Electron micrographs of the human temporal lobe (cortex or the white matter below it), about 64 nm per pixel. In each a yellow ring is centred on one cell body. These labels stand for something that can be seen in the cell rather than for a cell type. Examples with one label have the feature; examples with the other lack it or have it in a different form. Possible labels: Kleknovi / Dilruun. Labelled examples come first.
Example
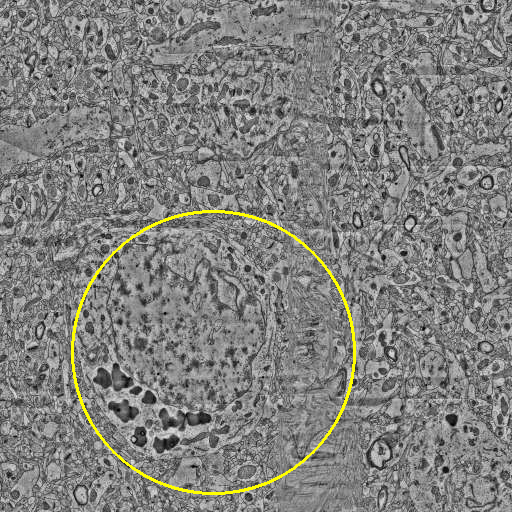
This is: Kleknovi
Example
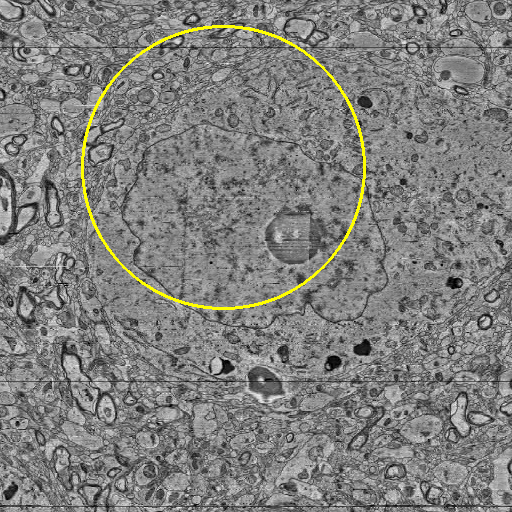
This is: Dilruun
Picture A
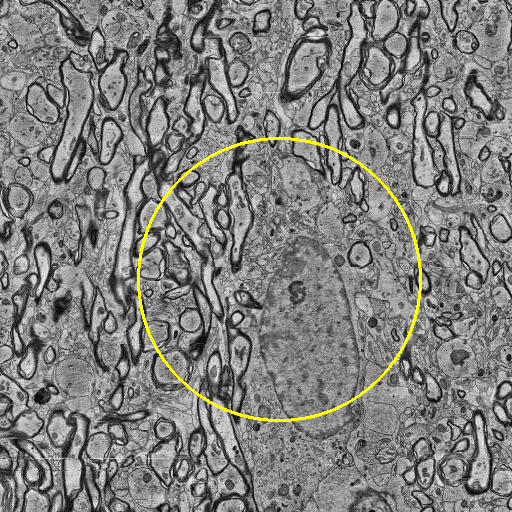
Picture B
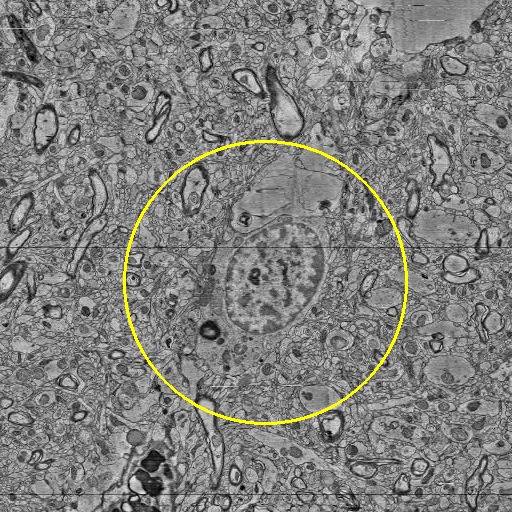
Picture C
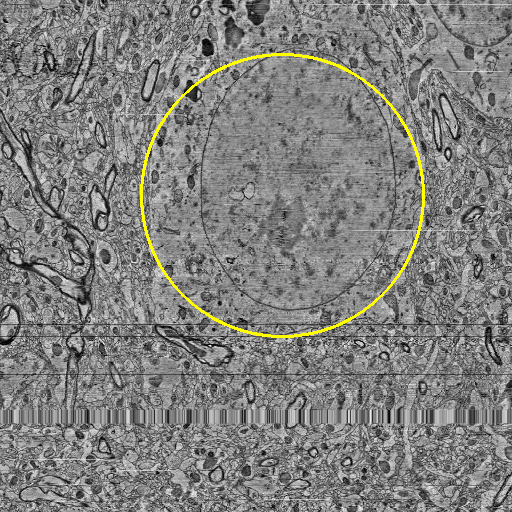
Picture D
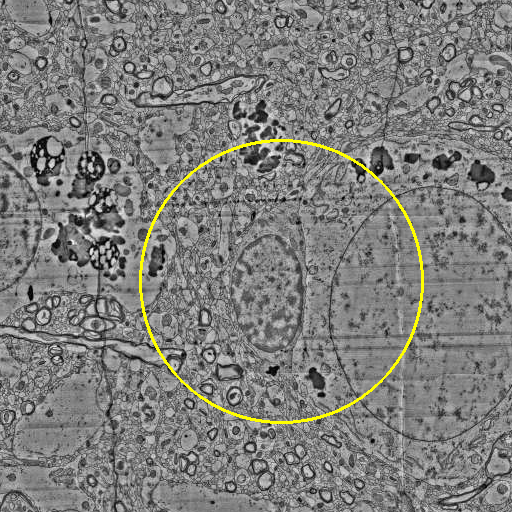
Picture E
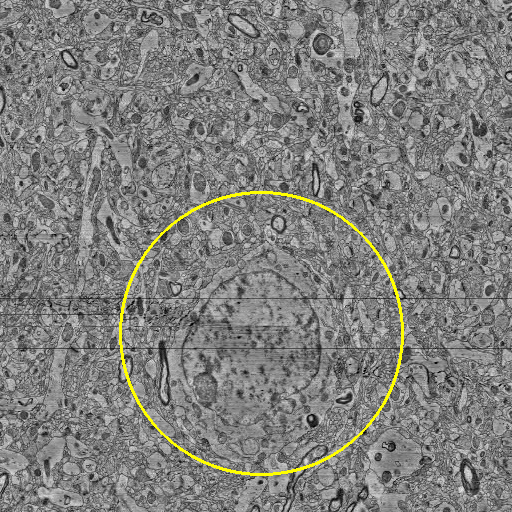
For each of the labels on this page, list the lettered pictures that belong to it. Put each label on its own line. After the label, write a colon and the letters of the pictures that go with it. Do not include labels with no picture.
Kleknovi: C, D
Dilruun: A, B, E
